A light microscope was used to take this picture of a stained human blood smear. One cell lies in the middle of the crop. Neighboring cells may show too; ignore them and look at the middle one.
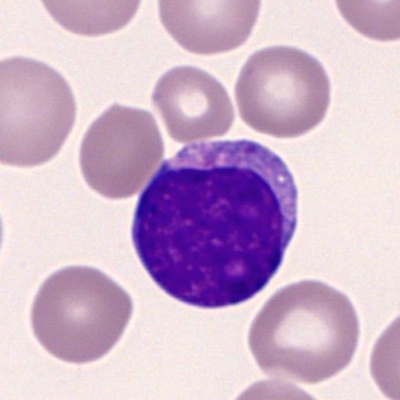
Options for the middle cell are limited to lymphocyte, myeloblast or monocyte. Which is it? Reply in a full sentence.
The central cell, amid any neighbouring cells, is a myeloblast.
